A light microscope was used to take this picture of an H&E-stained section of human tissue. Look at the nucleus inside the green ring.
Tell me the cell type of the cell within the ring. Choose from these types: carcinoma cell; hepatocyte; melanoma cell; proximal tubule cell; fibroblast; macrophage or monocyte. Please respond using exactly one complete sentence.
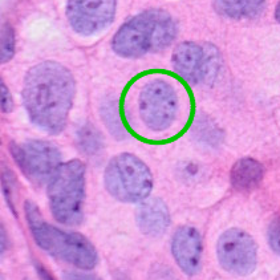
In cell-type terms, the cell within the ring is a carcinoma cell.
